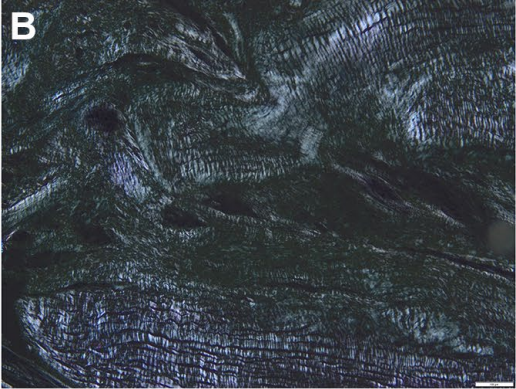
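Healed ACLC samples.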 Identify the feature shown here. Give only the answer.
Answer: Collagen fibers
